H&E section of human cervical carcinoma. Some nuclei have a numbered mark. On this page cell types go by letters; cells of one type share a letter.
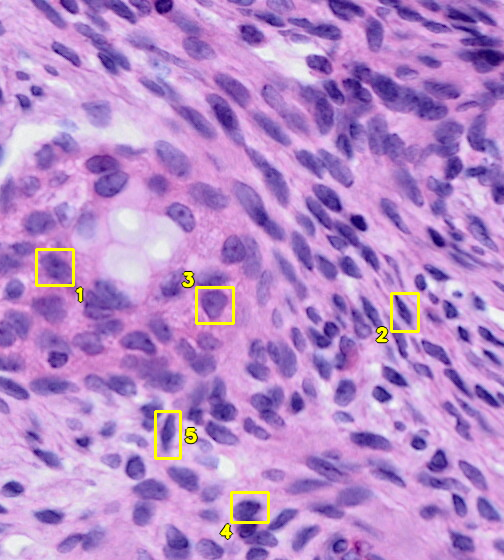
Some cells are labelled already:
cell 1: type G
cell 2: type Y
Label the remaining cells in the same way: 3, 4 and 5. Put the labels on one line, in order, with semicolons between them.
type G; type Y; type Y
